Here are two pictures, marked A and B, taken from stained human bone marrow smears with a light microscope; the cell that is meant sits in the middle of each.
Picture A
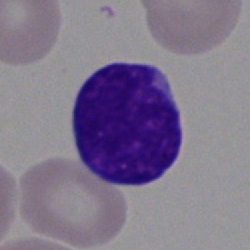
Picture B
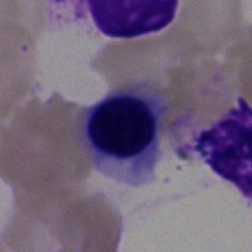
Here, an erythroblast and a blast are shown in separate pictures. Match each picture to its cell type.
A: blast
B: erythroblast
